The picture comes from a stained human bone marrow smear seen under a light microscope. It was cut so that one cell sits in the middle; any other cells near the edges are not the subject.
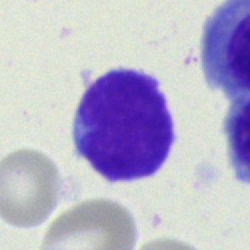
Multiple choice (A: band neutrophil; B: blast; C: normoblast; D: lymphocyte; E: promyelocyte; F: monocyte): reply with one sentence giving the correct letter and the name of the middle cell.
Seen at the centre of the crop is a lymphocyte, so option D is correct.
